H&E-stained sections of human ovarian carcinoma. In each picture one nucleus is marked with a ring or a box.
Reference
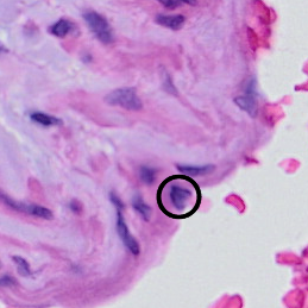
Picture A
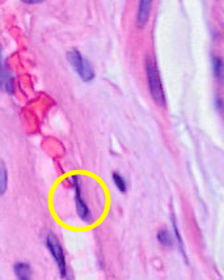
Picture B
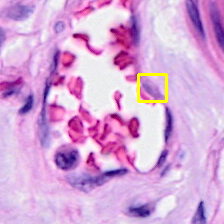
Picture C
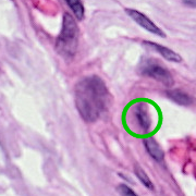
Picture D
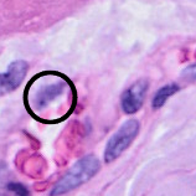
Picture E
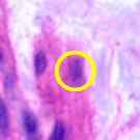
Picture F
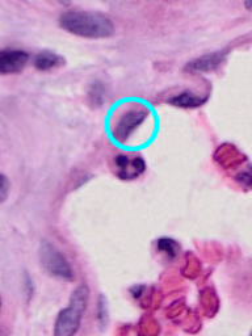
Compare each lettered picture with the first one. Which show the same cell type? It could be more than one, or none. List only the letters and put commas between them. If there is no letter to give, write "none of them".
A, B, C, D, F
